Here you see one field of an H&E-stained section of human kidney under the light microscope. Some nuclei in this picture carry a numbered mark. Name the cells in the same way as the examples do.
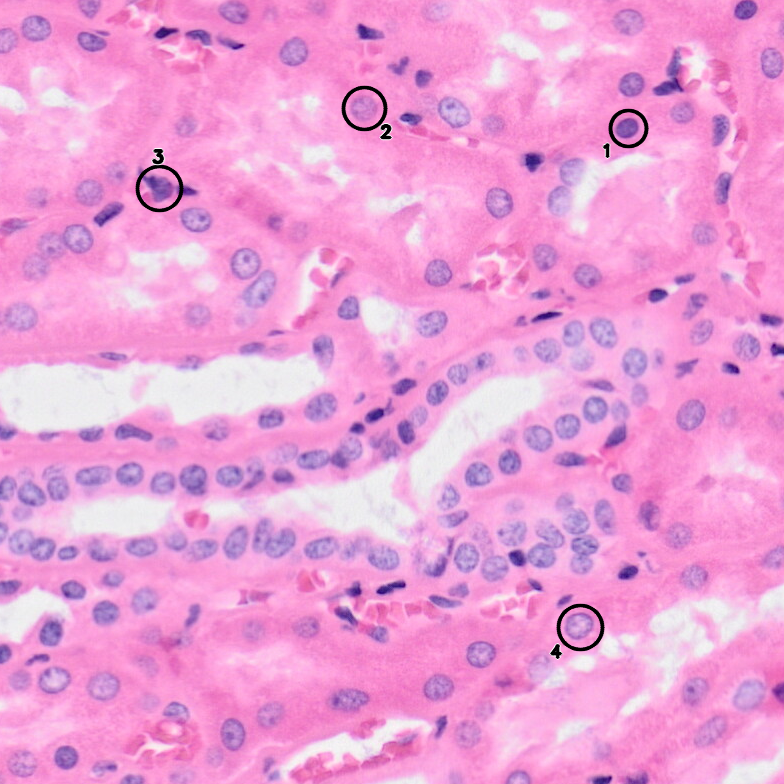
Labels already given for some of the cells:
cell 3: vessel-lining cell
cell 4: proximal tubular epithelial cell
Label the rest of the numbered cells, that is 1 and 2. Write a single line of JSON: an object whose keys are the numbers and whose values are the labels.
{"1": "proximal tubular epithelial cell", "2": "proximal tubular epithelial cell"}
